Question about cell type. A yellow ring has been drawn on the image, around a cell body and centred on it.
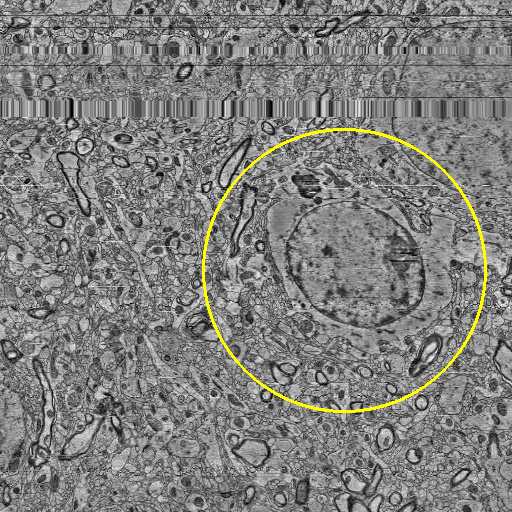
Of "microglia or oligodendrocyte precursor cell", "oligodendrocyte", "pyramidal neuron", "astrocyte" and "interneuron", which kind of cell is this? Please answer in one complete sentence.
At the centre of the ring lies an astrocyte.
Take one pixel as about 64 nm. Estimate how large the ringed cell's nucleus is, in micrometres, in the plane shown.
In this plane the nucleus is about 10 micrometres by 8.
